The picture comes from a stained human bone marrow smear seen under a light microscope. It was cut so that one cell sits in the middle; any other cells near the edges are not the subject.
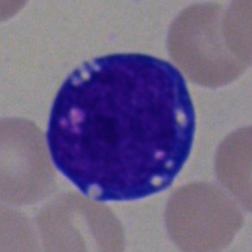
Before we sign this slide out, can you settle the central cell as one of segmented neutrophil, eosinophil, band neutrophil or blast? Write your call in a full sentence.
Framed in the middle of the crop is a blast.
